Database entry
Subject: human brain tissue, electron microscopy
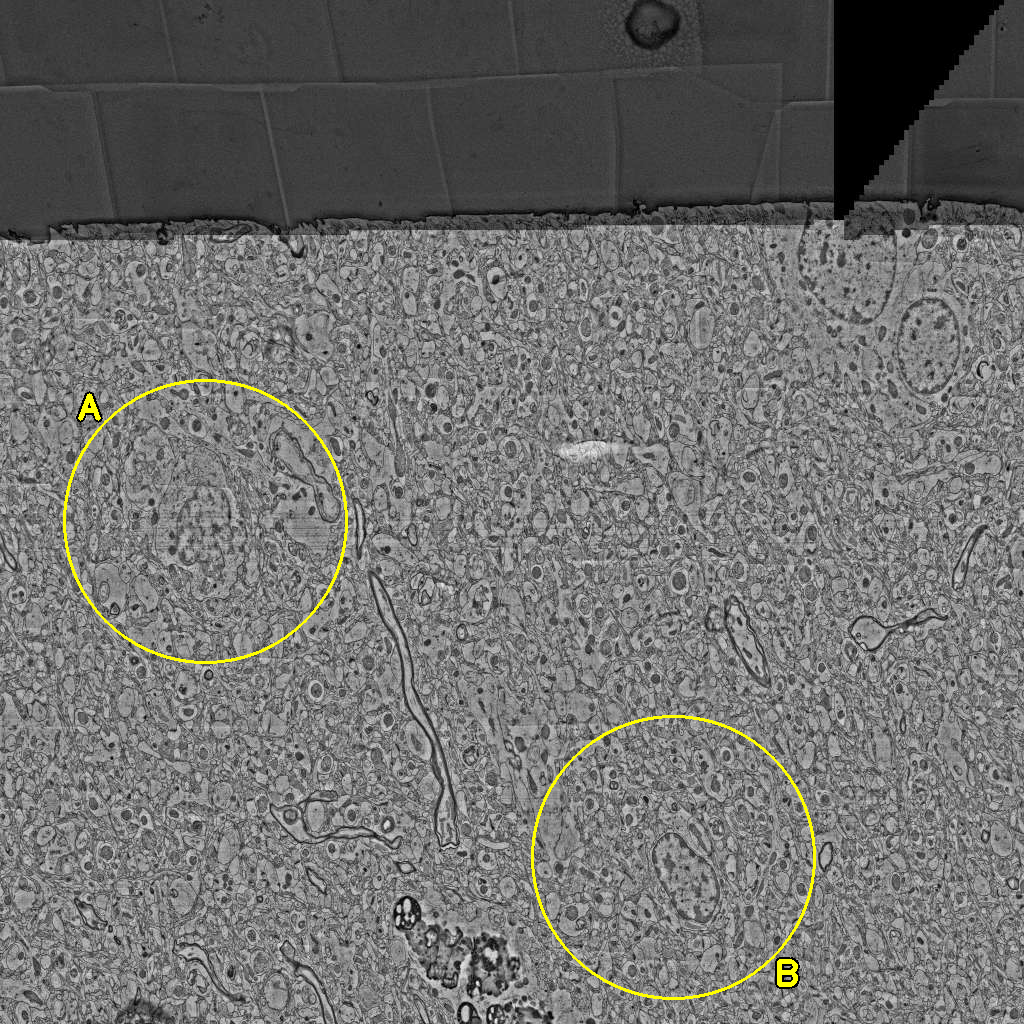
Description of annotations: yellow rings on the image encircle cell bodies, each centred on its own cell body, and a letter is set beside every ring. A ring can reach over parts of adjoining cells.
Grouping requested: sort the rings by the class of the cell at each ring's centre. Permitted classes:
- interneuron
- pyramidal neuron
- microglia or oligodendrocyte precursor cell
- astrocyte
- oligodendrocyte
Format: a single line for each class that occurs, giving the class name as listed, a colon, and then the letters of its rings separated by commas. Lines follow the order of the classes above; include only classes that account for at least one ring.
interneuron: A
microglia or oligodendrocyte precursor cell: B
